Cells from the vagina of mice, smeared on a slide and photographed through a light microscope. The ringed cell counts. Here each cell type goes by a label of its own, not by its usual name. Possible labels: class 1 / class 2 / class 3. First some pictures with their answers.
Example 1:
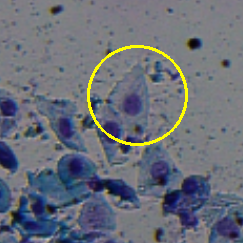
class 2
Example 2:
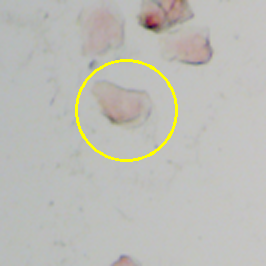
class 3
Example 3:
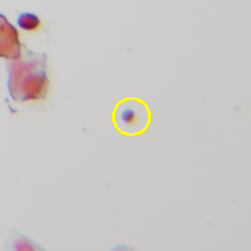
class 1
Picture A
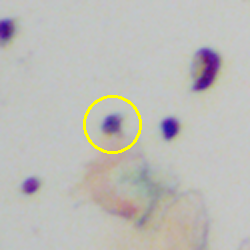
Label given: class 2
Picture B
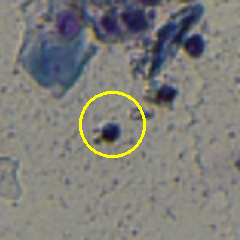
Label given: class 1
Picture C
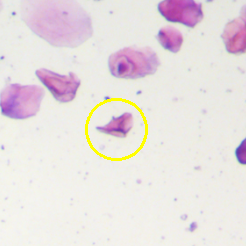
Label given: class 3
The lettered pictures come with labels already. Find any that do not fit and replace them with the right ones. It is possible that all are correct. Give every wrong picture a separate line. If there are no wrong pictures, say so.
A: not class 2 but class 1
